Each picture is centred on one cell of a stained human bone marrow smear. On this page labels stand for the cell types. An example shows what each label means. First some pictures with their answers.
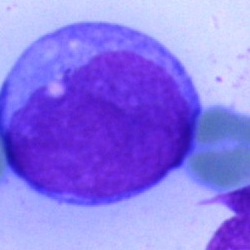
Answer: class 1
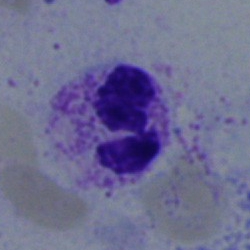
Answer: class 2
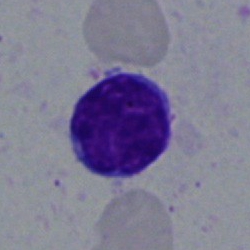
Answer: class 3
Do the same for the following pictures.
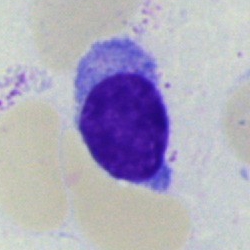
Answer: class 3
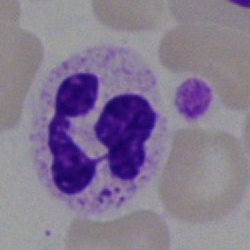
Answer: class 2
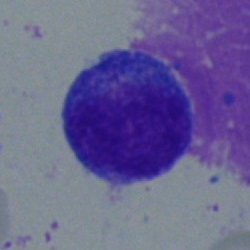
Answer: class 1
